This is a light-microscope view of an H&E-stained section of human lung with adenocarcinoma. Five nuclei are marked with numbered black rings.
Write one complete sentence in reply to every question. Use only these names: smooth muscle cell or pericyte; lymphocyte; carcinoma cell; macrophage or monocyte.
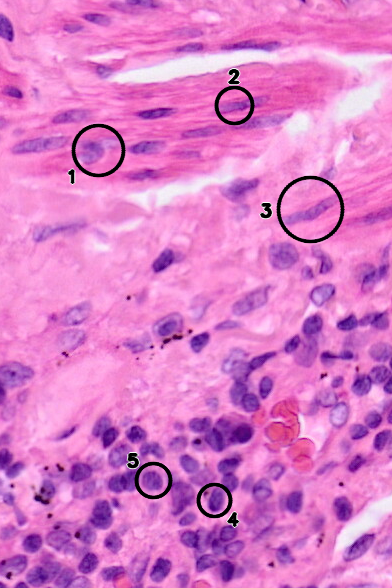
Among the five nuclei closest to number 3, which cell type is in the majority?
Most of the five nuclei nearest to number 3 are those of macrophages or monocytes.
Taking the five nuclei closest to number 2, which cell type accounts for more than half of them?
The majority of the five nuclei closest to number 2 belong to smooth muscle cells or pericytes.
